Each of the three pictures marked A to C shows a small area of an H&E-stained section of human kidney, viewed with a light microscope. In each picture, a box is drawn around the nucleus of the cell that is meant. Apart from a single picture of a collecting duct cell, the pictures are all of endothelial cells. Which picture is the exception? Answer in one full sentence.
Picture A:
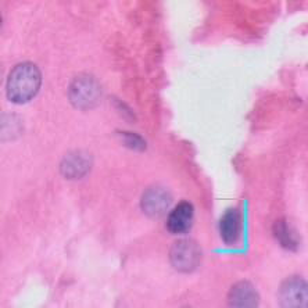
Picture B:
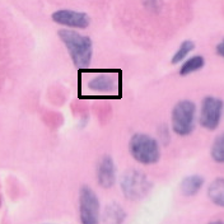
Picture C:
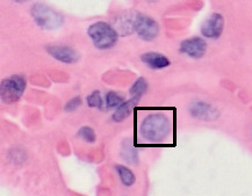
The collecting duct cell is the one in picture C.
